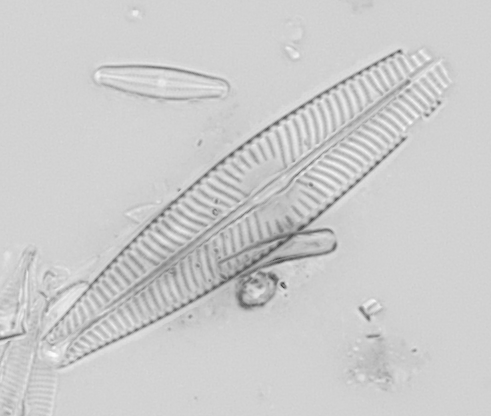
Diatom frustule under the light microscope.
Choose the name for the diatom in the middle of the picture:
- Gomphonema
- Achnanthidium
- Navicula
Navicula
